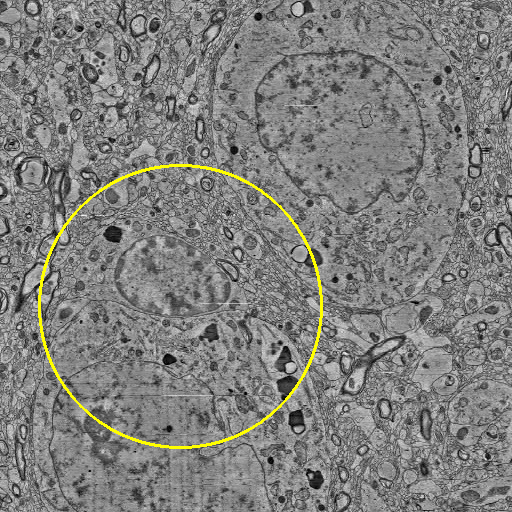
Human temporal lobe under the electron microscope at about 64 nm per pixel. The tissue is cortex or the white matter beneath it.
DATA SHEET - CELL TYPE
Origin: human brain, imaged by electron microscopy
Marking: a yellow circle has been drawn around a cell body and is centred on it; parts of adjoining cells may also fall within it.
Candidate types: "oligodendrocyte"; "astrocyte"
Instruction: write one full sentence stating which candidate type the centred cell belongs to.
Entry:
The cell body at the centre of the yellow ring in this micrograph belongs to an oligodendrocyte.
